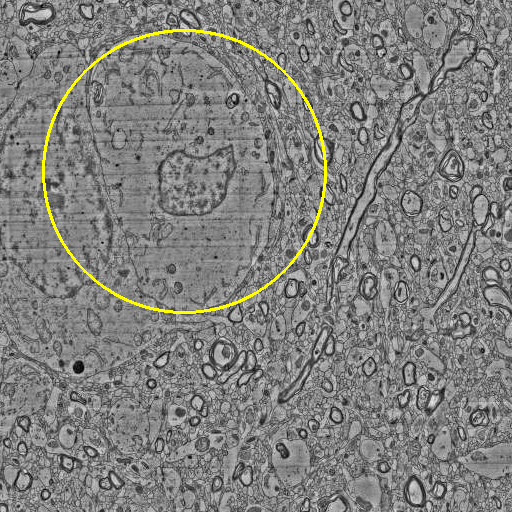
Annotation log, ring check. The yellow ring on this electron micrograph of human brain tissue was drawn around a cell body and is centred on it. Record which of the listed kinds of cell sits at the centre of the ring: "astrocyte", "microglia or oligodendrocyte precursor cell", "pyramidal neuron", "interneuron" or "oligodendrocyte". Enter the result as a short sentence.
The cell at the centre of the ring is a pyramidal neuron.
